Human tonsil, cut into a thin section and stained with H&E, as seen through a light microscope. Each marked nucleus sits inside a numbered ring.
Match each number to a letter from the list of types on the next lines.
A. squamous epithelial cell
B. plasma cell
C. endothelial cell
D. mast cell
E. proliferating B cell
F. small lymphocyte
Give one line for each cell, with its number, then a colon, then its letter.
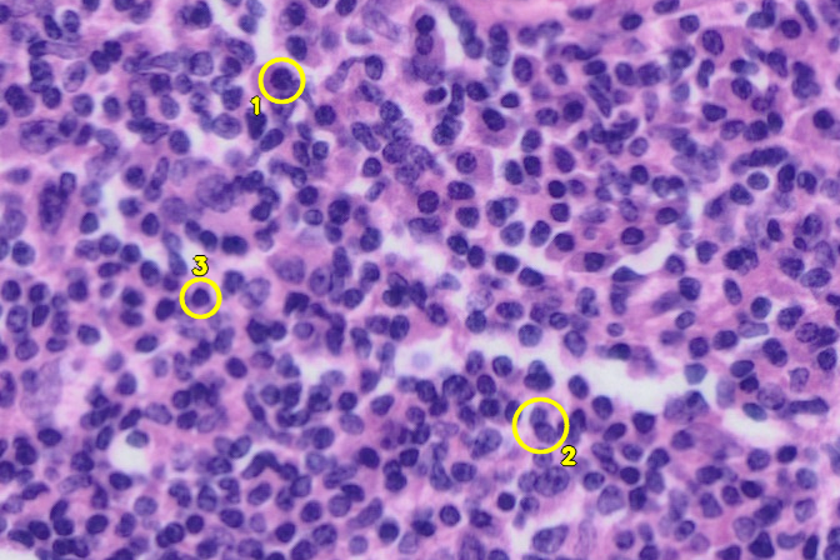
1: B
2: F
3: F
